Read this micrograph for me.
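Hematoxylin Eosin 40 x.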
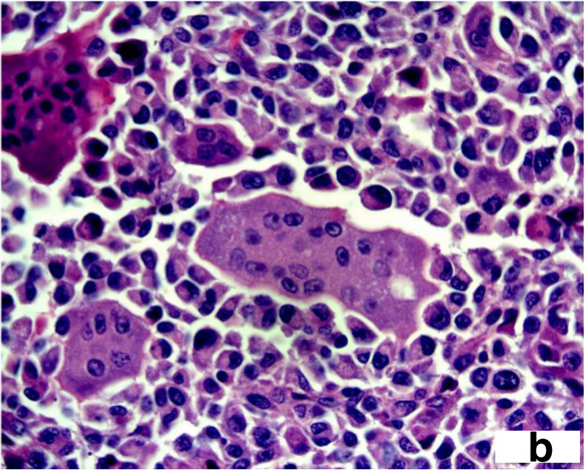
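Several multinuclear giant cells lie scattered among densely packed neoplastic mononuclear cells. The giant cells are large and irregular, with abundant pink cytoplasm and many oval nuclei gathered within them. One giant cell at the upper left is more deeply stained, with crowded dark nuclei.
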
